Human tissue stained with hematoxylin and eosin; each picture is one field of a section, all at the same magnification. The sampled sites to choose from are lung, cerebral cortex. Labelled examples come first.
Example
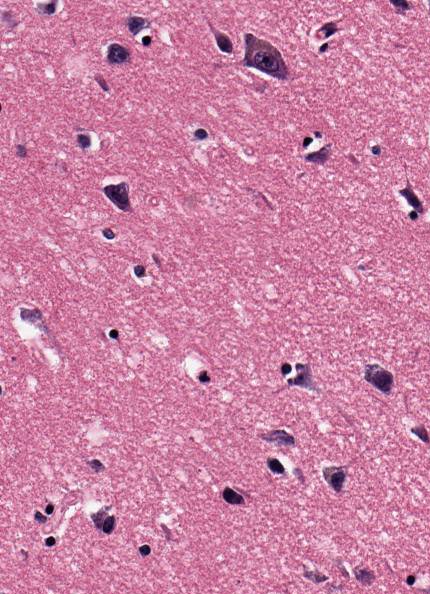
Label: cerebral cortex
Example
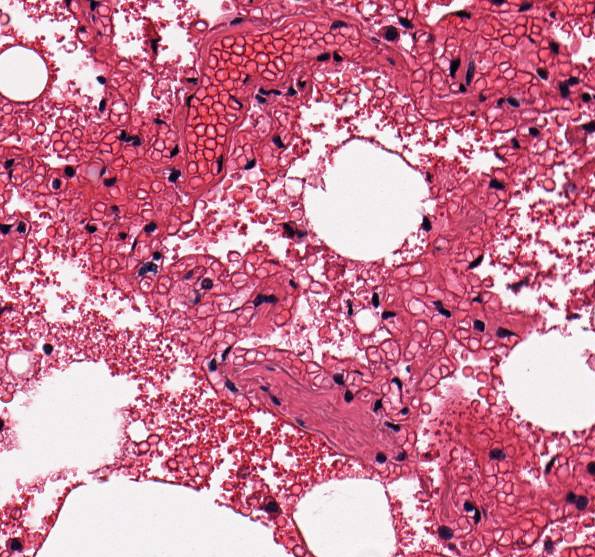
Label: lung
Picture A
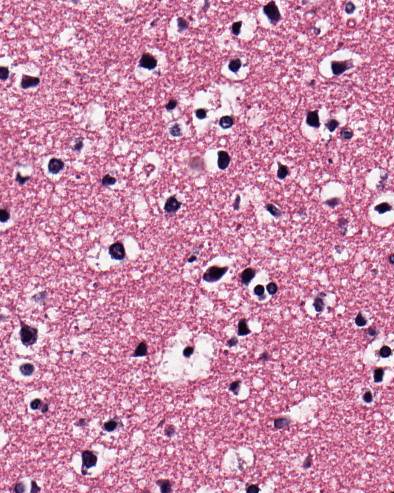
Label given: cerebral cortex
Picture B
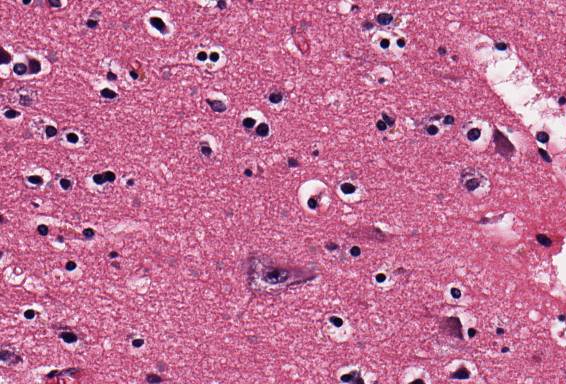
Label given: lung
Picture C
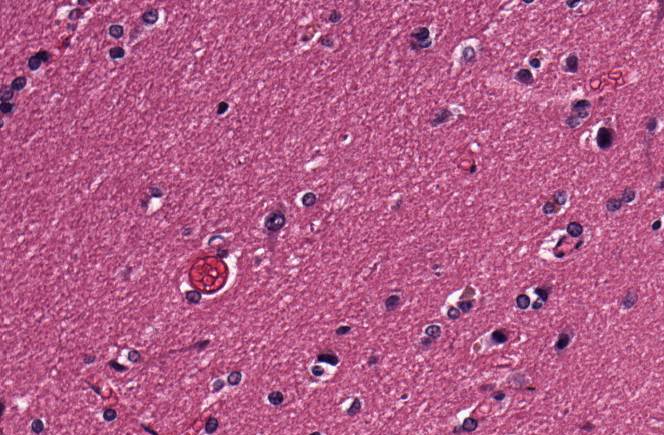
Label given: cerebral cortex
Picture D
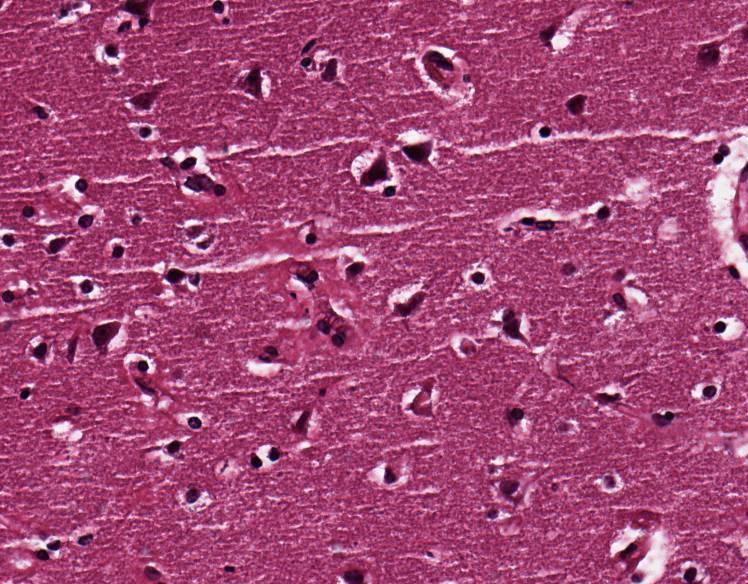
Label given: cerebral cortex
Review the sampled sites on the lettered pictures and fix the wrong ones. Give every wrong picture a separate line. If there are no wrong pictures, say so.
B is labelled lung; correct label: cerebral cortex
